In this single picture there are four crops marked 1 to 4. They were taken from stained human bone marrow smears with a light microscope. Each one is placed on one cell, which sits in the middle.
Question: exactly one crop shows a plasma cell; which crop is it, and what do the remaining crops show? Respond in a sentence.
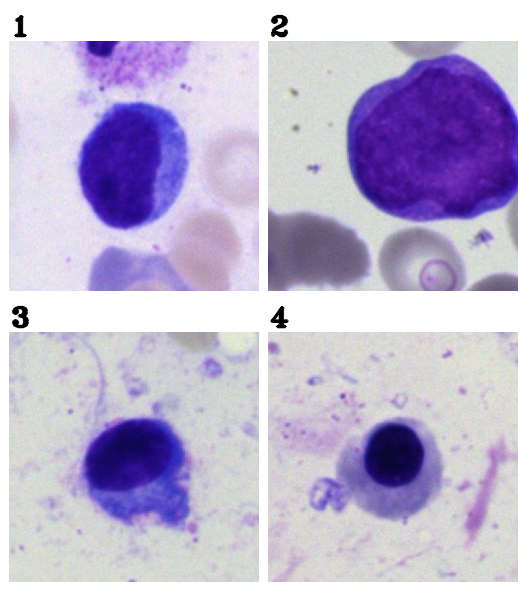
Crop 3 carries a plasma cell in its middle, whereas crop 1 is a lymphocyte, crop 2 is a blast and crop 4 is an erythroblast.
